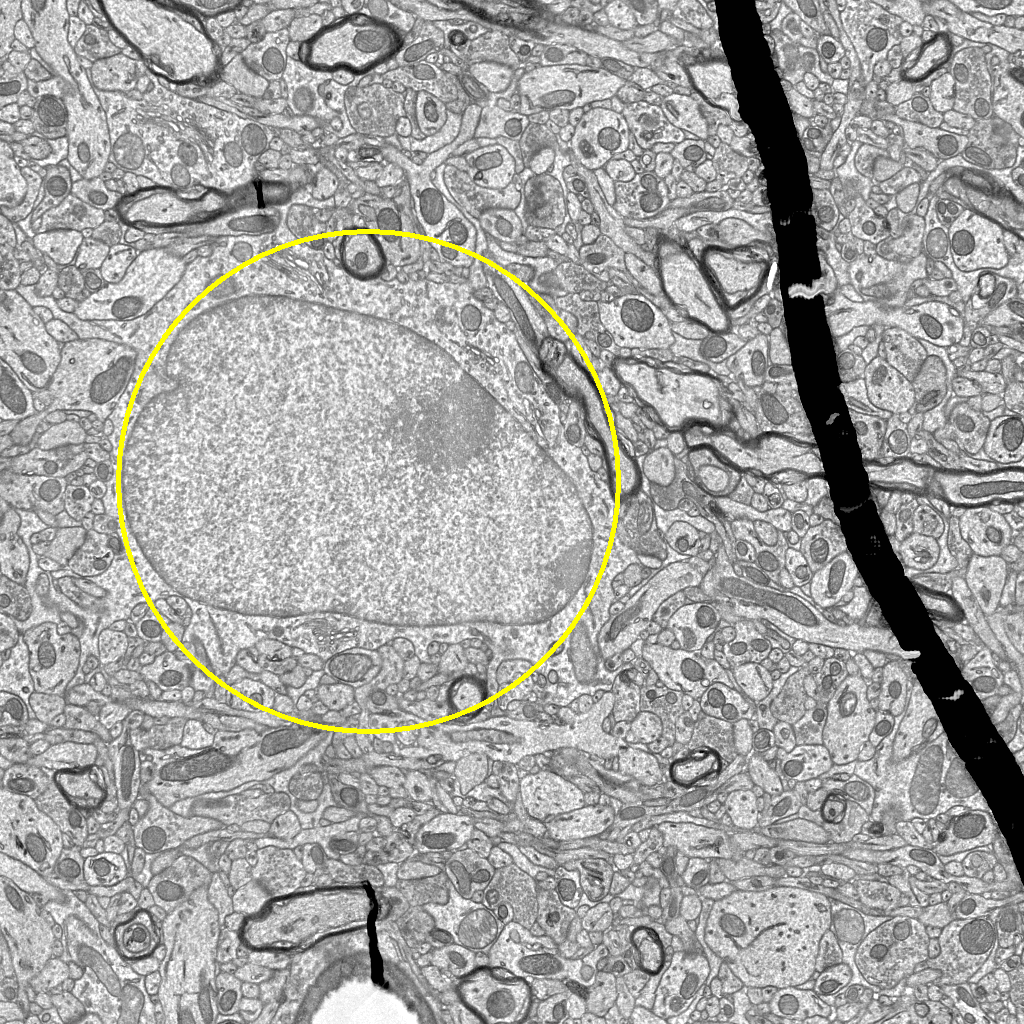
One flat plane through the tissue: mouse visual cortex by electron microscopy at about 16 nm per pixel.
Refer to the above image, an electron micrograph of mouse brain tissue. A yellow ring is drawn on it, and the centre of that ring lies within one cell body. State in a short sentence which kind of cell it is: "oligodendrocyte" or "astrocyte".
The centre of the ring falls on an astrocyte.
